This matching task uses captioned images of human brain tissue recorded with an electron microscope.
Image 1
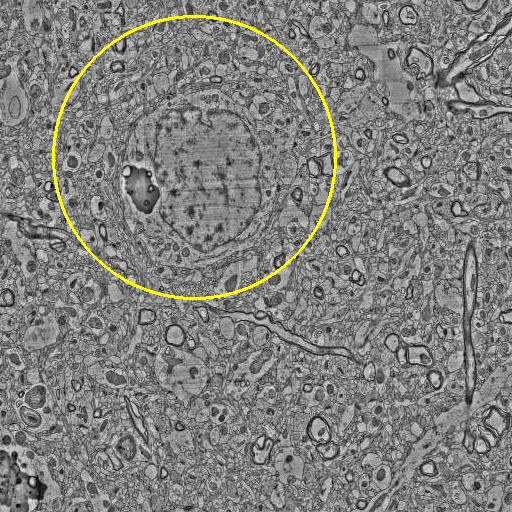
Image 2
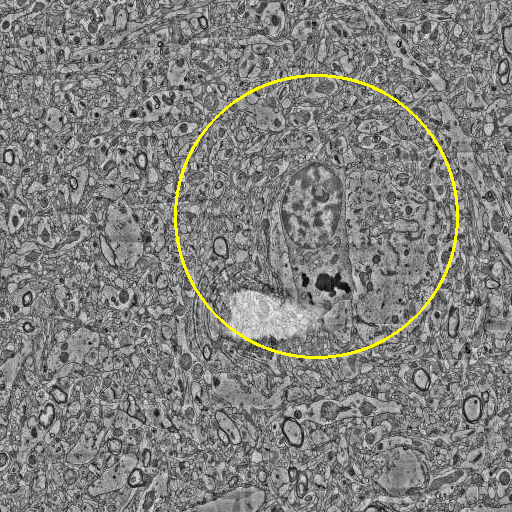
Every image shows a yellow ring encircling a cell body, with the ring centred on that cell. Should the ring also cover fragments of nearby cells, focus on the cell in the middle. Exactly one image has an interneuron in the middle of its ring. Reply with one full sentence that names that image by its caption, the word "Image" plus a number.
Image 1 shows the cell in question at the centre of its yellow ring.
